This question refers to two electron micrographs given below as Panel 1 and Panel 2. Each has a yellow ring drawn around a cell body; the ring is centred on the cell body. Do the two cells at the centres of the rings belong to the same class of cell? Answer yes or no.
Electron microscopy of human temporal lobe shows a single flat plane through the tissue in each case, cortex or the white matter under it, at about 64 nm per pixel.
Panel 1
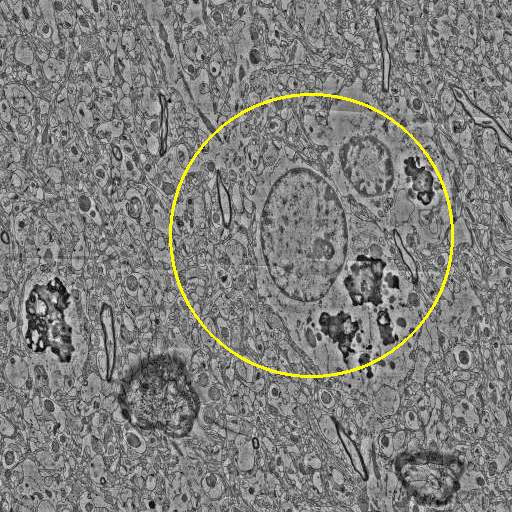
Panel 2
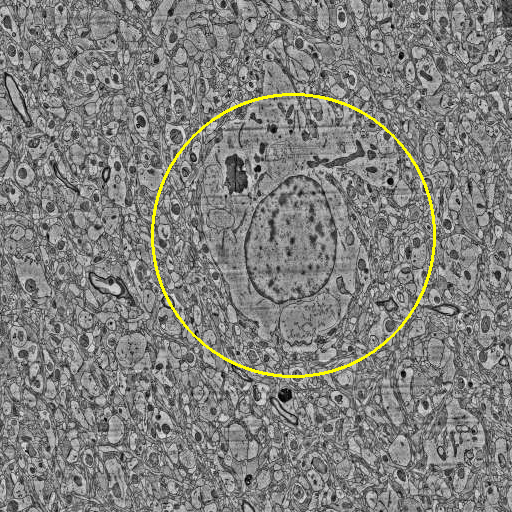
yes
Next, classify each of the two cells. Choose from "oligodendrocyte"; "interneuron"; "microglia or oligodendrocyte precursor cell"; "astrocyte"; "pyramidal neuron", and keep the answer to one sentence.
Both rings mark an astrocyte, one in each picture.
